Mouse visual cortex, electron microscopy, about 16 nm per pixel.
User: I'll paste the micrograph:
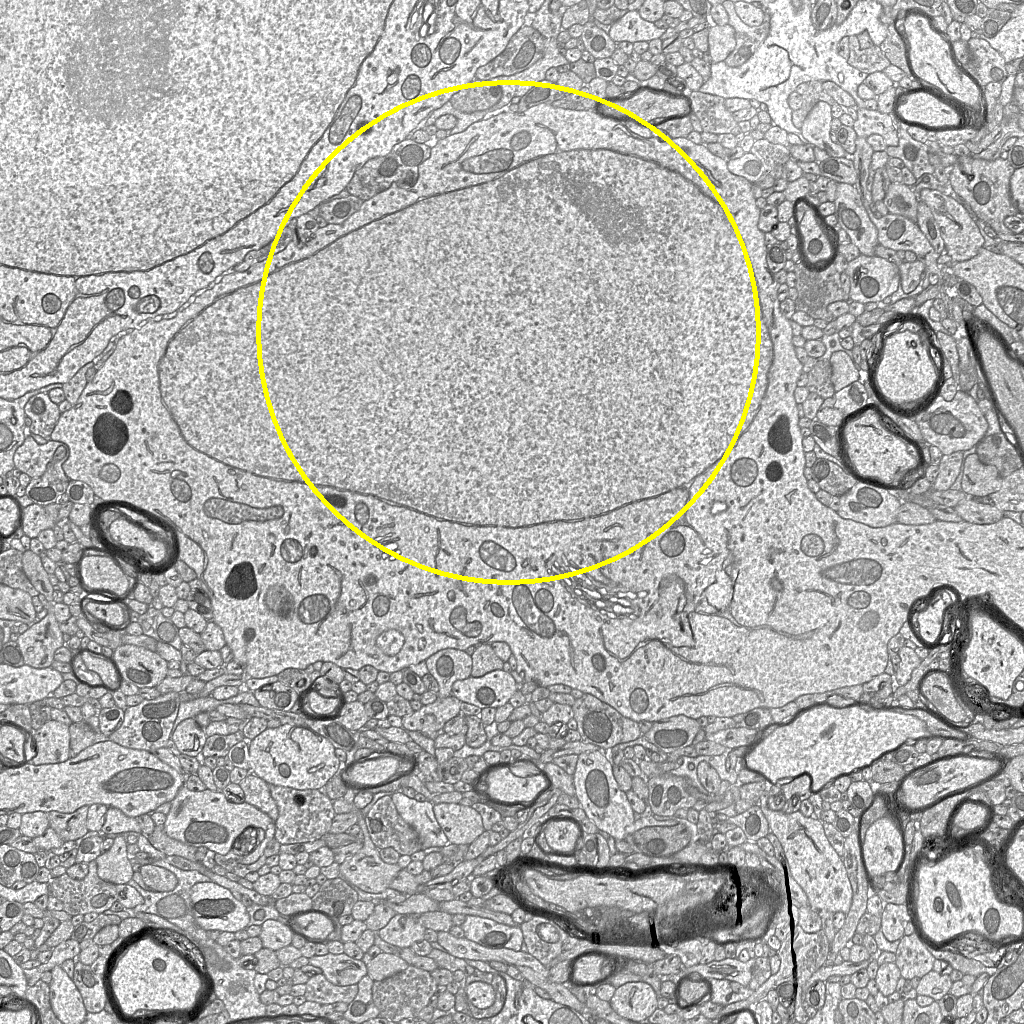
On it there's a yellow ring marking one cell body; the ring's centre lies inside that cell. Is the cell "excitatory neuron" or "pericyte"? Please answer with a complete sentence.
The cell at the centre of the yellow ring is an excitatory neuron.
